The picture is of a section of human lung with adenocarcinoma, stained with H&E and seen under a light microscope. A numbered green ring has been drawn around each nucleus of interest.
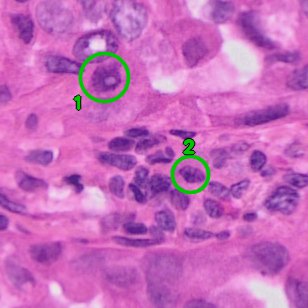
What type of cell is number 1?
carcinoma cell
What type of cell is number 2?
lymphocyte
